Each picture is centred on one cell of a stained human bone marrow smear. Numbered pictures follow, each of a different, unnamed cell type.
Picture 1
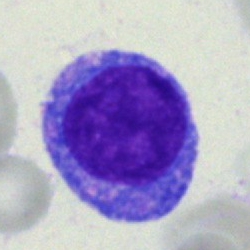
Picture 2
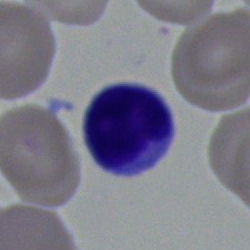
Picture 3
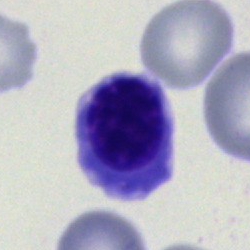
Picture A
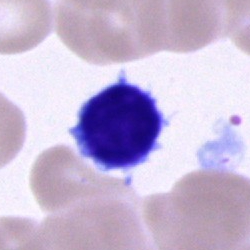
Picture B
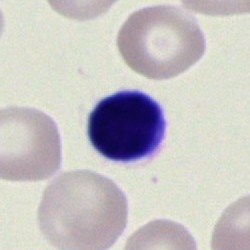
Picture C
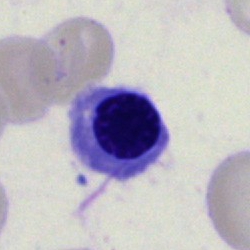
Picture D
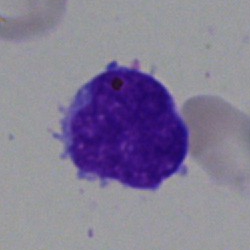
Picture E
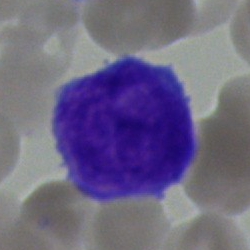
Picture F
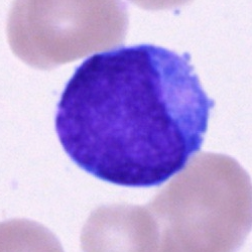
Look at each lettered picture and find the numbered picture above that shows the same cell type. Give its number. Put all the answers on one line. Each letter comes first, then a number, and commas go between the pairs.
A 2, B 2, C 3, D 1, E 1, F 1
